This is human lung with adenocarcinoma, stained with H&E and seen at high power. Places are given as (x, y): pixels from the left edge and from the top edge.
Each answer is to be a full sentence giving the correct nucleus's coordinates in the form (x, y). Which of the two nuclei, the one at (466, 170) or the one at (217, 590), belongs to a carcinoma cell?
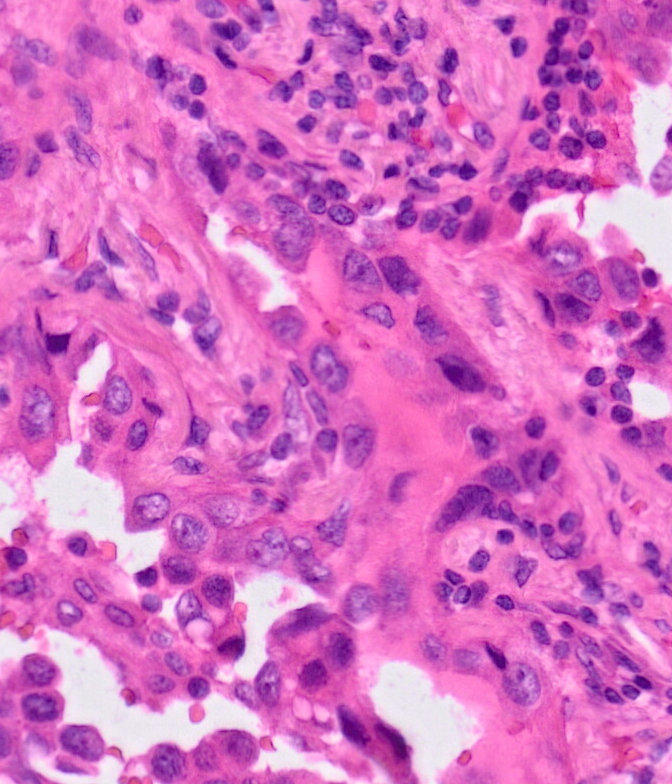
Housed in a carcinoma cell is the nucleus at (217, 590), not the other one.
